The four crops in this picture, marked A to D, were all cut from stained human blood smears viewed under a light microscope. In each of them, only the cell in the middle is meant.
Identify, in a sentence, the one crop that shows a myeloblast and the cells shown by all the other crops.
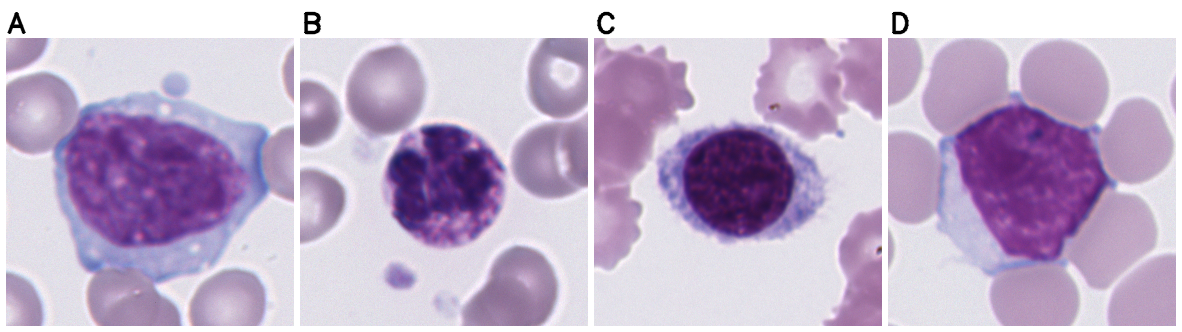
Crop A is where a myeloblast is shown, whereas crop B is a basophil, crop C is a hairy cell and crop D is a typical lymphocyte.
